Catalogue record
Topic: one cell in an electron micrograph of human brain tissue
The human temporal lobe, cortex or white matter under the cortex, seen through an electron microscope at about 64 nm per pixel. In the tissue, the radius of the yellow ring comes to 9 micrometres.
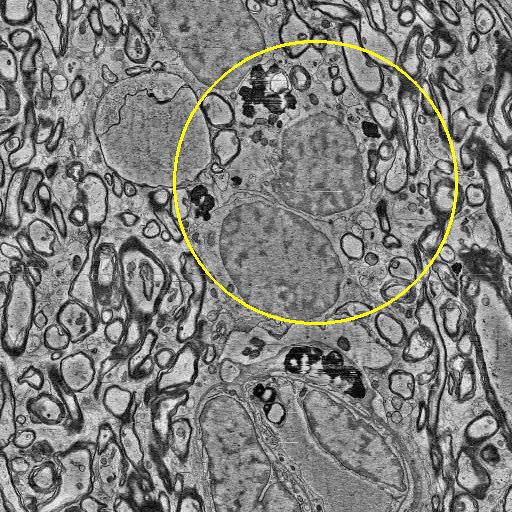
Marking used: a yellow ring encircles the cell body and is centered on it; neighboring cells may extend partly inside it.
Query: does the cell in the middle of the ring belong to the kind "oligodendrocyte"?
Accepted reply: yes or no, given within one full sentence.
Yes, the cell centered in the ring in the picture is of that kind.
